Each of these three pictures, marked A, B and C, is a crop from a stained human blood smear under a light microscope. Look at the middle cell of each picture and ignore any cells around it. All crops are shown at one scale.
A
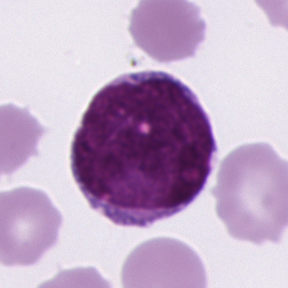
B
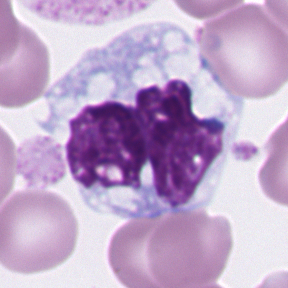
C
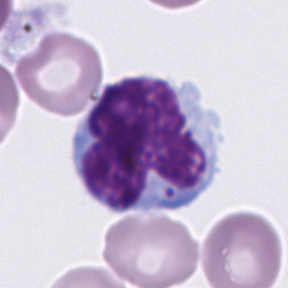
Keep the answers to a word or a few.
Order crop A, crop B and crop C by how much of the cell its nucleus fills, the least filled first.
B, C, A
